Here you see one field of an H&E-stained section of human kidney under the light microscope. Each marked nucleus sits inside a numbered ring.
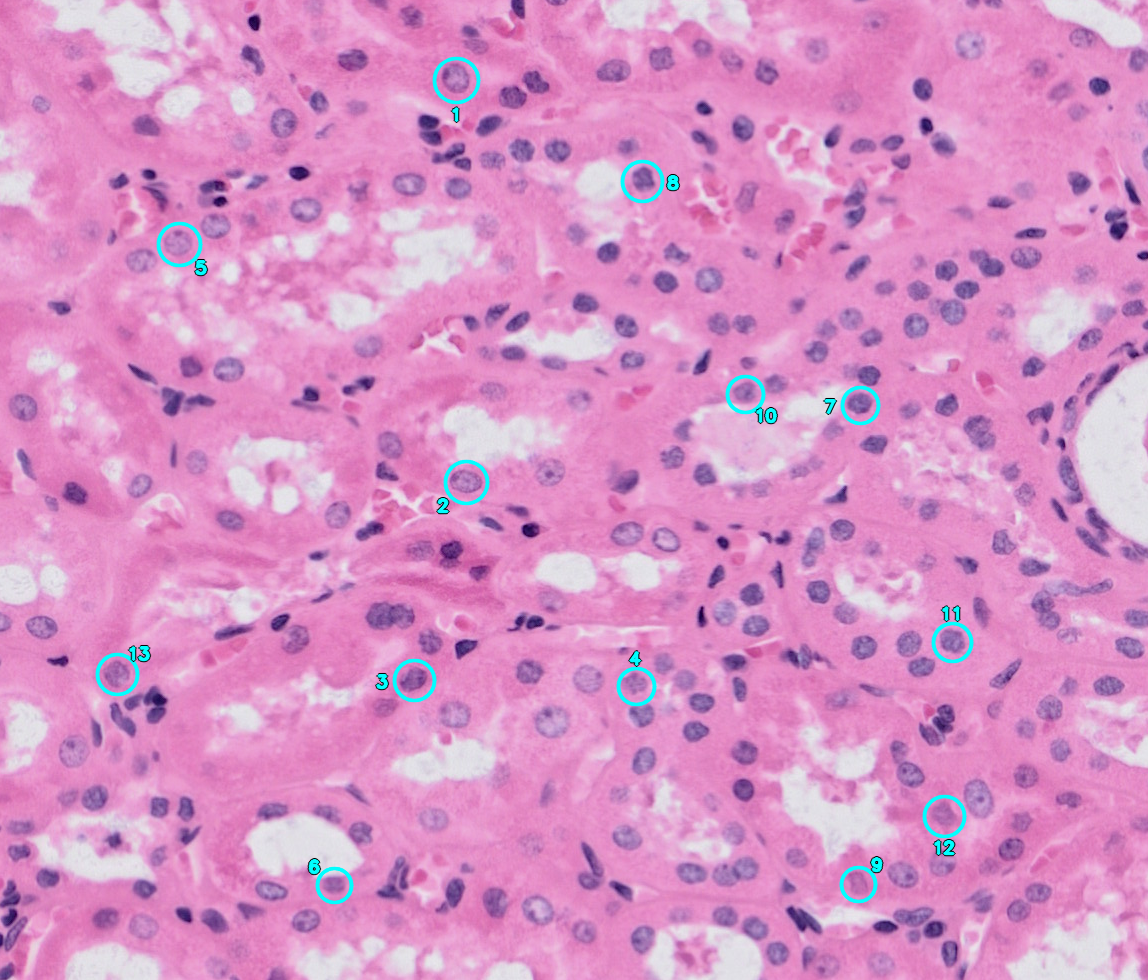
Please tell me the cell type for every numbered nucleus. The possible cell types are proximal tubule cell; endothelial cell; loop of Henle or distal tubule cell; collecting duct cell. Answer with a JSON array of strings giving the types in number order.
["proximal tubule cell", "proximal tubule cell", "proximal tubule cell", "loop of Henle or distal tubule cell", "proximal tubule cell", "loop of Henle or distal tubule cell", "loop of Henle or distal tubule cell", "loop of Henle or distal tubule cell", "proximal tubule cell", "loop of Henle or distal tubule cell", "loop of Henle or distal tubule cell", "proximal tubule cell", "proximal tubule cell"]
